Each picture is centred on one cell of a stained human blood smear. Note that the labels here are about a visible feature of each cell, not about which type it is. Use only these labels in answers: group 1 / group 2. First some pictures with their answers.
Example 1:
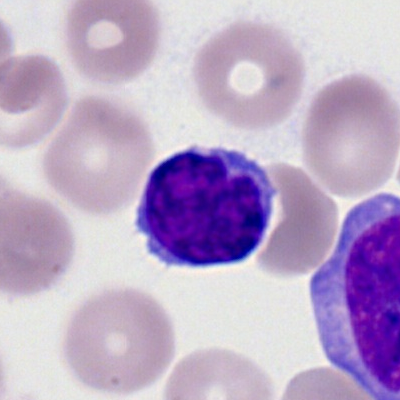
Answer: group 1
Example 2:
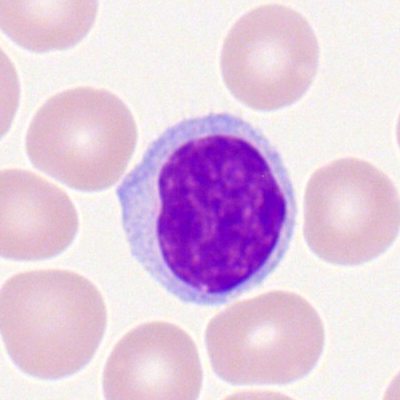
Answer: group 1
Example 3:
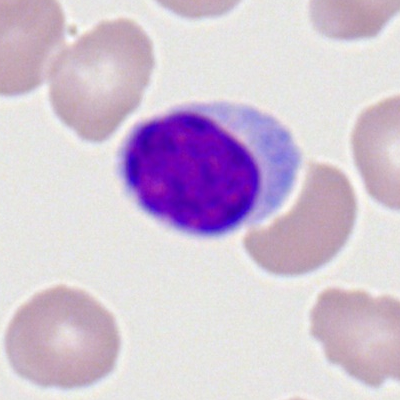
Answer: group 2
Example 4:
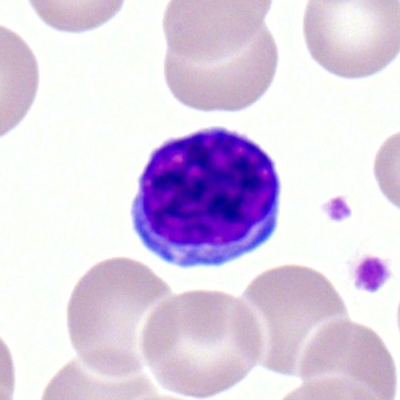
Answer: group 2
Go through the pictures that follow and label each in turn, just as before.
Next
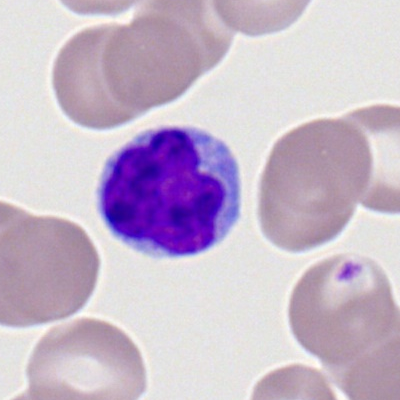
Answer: group 2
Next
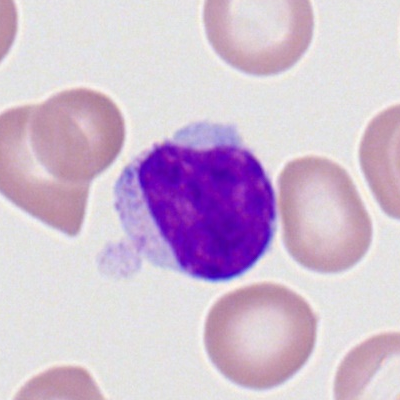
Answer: group 1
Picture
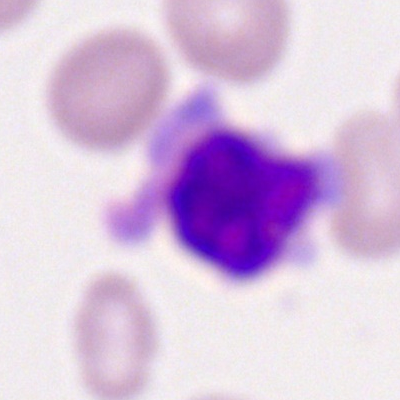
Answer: group 1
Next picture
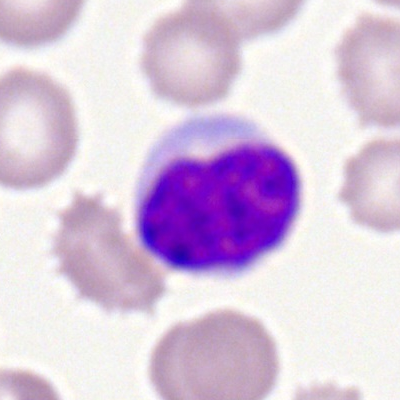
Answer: group 2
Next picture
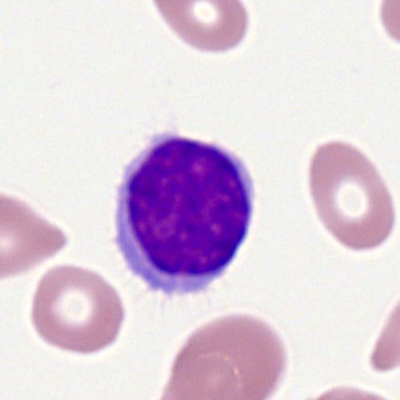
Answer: group 1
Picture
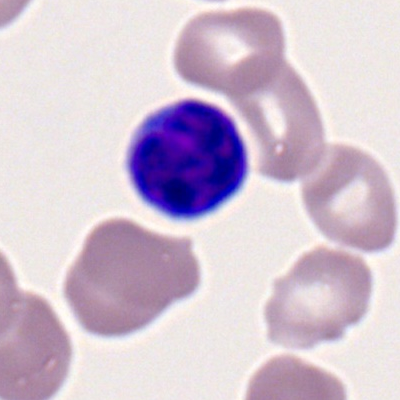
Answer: group 2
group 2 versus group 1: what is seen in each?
group 2: smooth outline; group 1: ragged outline or projections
